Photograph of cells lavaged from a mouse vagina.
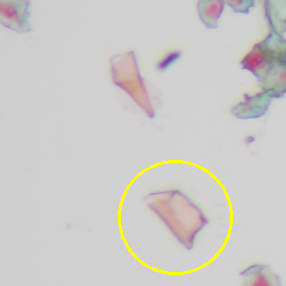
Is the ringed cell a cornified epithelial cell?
Yes, it is a cornified epithelial cell.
